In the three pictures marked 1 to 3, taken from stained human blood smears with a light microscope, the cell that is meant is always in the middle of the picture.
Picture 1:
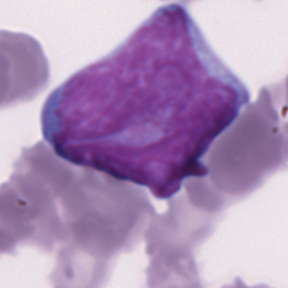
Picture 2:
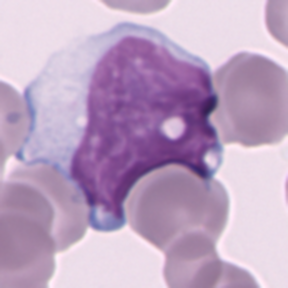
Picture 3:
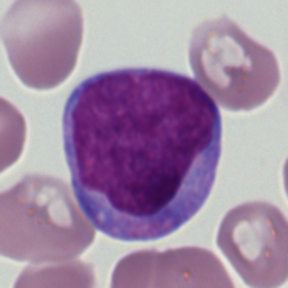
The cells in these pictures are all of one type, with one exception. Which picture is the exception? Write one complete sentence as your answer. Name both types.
Picture 3 differs, because its cell is an atypical promyelocyte and the rest are myeloblasts.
